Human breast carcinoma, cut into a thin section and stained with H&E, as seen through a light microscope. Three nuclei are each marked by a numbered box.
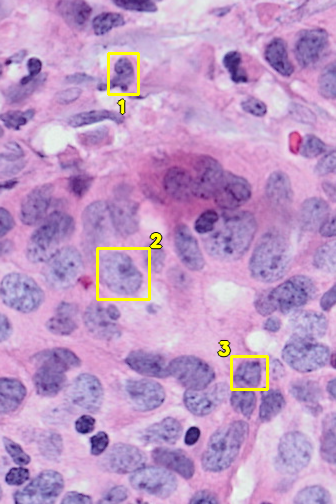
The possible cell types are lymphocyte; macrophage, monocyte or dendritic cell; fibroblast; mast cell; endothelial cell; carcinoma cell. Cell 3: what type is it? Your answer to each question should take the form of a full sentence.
Cell 3, among those numbered, is a carcinoma cell.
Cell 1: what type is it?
In this section, the cell tagged 1 is a mast cell.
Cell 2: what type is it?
The cell whose nucleus carries the number 2 is a carcinoma cell.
